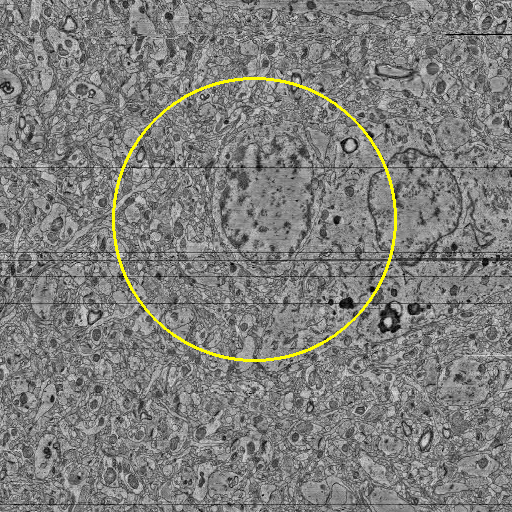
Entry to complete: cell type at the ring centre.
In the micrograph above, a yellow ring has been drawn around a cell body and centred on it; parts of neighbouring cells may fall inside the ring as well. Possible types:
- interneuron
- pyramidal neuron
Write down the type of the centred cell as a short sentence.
The ring is centred on an interneuron.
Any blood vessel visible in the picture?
No, no vessel shows anywhere in the image.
